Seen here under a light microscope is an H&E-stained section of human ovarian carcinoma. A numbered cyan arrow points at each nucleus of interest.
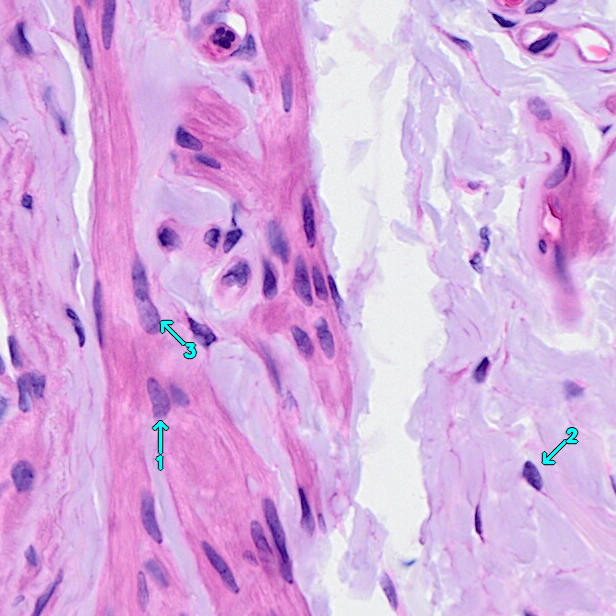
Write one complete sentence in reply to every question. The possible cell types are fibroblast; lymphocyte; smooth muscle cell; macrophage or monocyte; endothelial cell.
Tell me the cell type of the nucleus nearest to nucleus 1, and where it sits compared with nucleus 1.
Just to the right of nucleus 1 lies the nearest nucleus, which belongs to a smooth muscle cell.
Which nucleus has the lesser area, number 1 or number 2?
Nucleus 2 is the smaller one; nucleus 1 covers about 1.5 times its area.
